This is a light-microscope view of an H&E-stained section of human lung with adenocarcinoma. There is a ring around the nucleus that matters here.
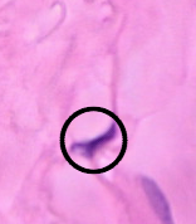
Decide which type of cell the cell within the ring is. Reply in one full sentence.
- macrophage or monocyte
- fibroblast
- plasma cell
To be brief about it, the cell within the ring is a fibroblast.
